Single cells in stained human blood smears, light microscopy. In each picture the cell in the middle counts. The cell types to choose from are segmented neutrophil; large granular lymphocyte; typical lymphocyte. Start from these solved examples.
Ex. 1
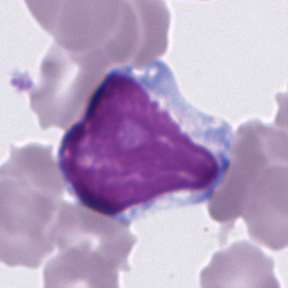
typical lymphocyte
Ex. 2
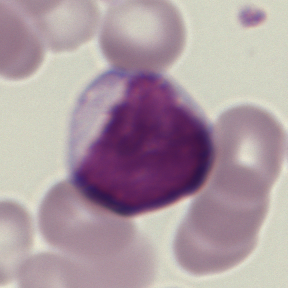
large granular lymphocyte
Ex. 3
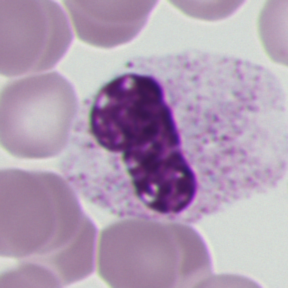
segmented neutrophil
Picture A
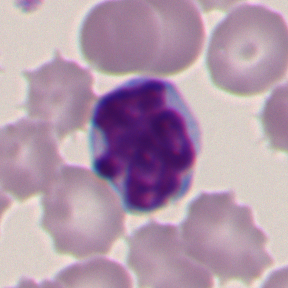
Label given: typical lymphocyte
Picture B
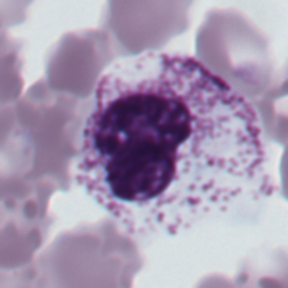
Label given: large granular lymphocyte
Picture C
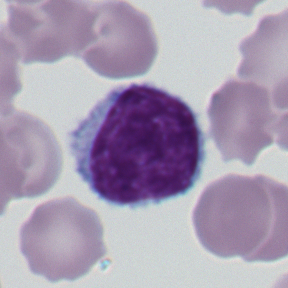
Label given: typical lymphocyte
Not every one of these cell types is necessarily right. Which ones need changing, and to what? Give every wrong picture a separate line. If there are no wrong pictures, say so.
Wrong: B (large granular lymphocyte); correct: segmented neutrophil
